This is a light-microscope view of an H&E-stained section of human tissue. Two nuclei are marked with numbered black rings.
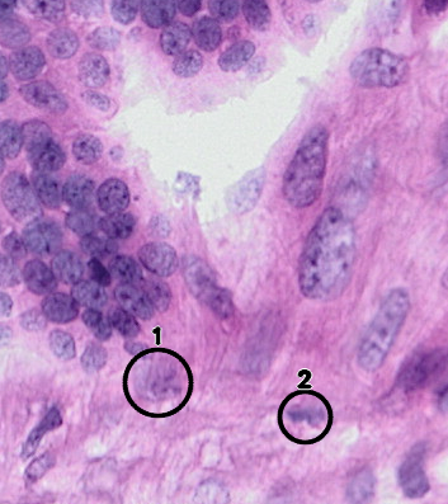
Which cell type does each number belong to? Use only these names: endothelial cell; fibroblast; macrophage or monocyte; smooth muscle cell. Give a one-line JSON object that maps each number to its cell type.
{"1": "fibroblast", "2": "macrophage or monocyte"}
